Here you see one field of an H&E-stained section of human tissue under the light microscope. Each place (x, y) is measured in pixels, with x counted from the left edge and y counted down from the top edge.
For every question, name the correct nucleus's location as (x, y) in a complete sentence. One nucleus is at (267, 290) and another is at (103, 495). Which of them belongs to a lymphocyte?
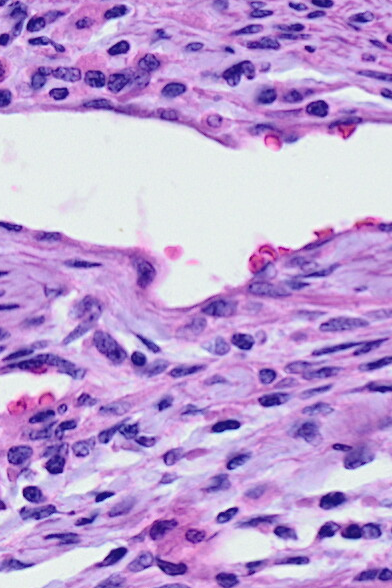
It is the nucleus at (103, 495) that forms part of a lymphocyte.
